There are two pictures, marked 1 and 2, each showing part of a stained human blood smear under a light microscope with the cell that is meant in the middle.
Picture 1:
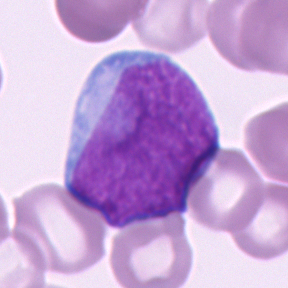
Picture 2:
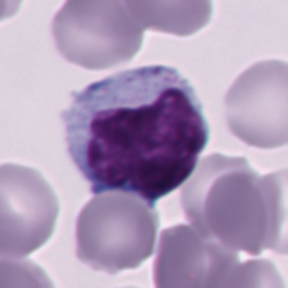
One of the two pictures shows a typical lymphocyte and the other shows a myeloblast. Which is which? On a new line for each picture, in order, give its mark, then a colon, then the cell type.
1: myeloblast
2: typical lymphocyte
